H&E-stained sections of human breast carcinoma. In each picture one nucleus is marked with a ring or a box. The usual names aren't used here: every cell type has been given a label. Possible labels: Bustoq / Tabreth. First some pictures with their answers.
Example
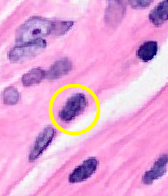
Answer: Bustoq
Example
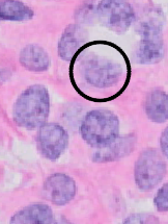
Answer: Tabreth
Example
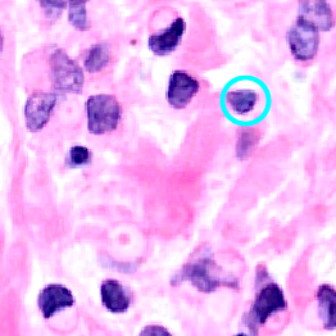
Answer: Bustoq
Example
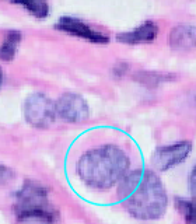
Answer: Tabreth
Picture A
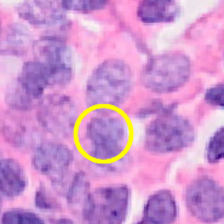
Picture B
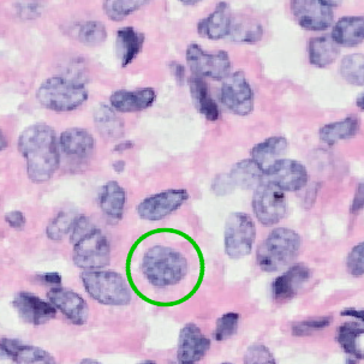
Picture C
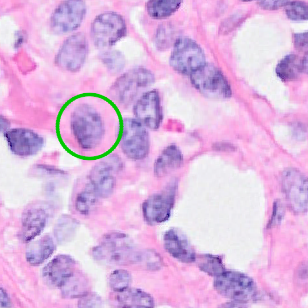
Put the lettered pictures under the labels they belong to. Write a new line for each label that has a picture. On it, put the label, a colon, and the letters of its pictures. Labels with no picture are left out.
Tabreth: A, B, C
